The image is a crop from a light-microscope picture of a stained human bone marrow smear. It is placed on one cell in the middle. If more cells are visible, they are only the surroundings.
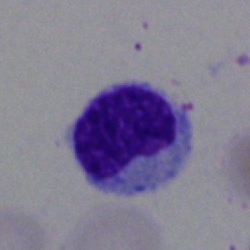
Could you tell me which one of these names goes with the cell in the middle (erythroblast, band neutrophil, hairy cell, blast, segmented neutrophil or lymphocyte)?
lymphocyte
